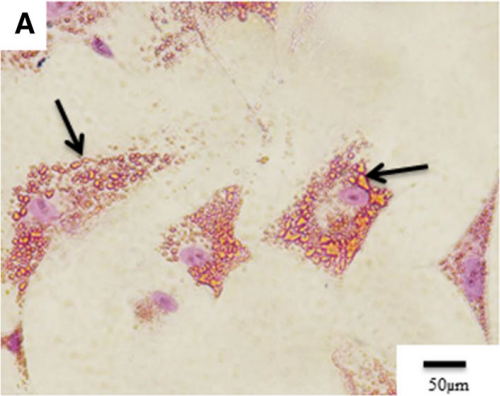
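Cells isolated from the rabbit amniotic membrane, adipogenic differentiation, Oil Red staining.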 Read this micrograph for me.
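The cells are flattened and irregular in outline, lying apart on a pale background. Many small round orange-red droplets of varying size crowd the cytoplasm, clustering around an oval pale violet nucleus.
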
